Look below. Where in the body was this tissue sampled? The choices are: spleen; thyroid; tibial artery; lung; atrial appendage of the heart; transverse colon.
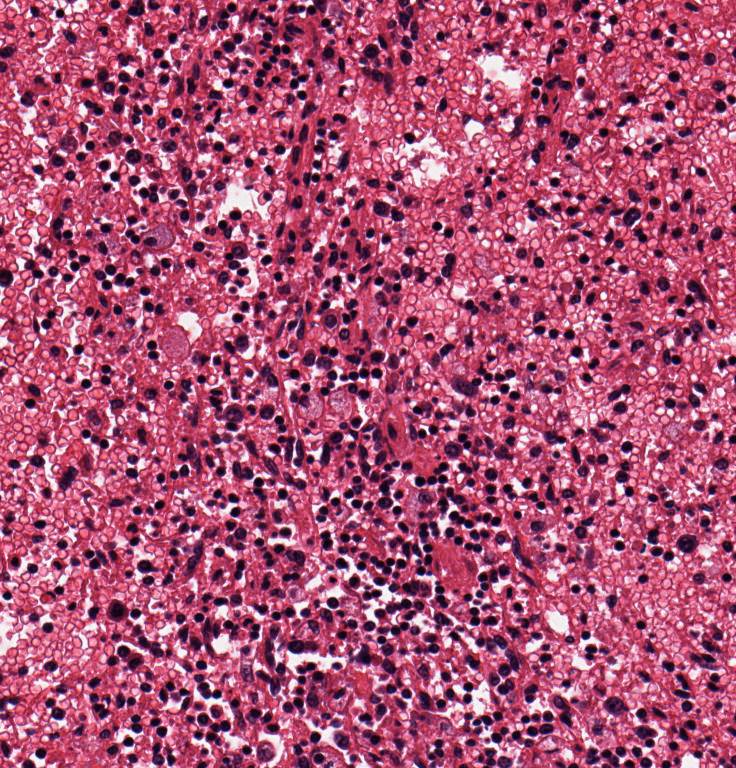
spleen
